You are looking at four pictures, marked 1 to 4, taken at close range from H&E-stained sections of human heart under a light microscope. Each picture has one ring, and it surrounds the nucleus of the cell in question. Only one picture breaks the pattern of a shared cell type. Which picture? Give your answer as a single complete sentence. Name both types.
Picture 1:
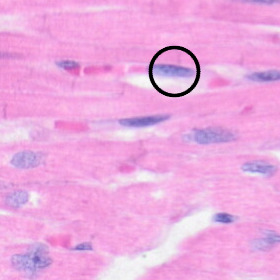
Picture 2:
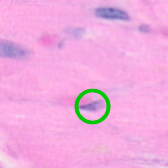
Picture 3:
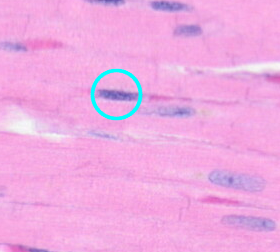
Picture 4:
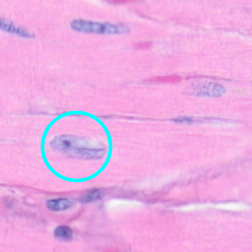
The others show endothelial cells, but picture 4 shows a cardiomyocyte.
